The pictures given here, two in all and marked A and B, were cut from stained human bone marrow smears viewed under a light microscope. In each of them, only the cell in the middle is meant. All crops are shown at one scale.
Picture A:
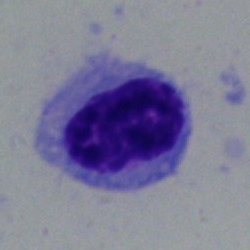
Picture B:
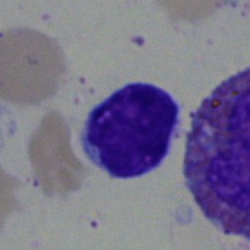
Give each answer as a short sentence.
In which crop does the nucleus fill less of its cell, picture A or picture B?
Of the two, the nucleus in picture A leaves more room for cytoplasm.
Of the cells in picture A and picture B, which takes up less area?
It is the cell in picture B; the cell in picture A has about 2 times its area.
